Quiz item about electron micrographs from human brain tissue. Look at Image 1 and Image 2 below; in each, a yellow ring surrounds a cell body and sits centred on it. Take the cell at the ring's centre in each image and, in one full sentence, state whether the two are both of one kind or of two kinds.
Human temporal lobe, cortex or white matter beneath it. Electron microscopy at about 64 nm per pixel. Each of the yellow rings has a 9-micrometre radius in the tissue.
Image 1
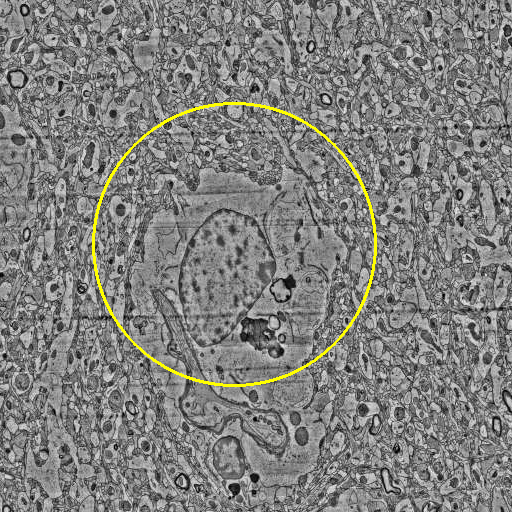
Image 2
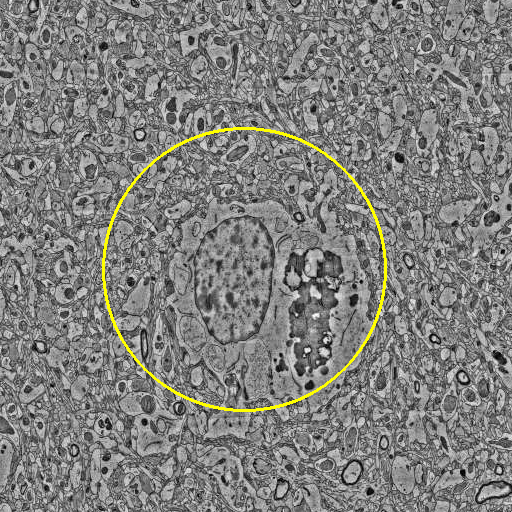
In Image 1 and Image 2, the cells at the ring centres are both of one kind.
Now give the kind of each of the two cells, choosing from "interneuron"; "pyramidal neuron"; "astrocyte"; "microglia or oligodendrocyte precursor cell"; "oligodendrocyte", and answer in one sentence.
The first and the second cell are each an astrocyte.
